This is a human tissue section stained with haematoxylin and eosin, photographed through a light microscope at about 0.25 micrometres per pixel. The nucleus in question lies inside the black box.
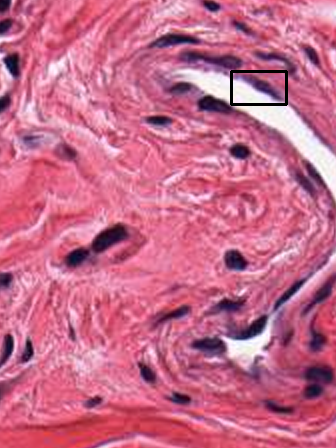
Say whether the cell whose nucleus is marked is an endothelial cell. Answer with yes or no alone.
yes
